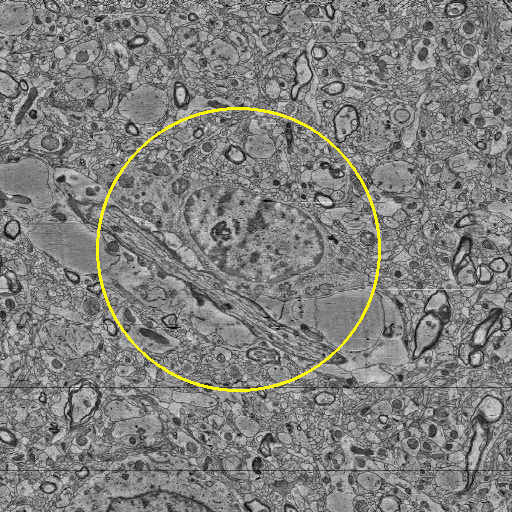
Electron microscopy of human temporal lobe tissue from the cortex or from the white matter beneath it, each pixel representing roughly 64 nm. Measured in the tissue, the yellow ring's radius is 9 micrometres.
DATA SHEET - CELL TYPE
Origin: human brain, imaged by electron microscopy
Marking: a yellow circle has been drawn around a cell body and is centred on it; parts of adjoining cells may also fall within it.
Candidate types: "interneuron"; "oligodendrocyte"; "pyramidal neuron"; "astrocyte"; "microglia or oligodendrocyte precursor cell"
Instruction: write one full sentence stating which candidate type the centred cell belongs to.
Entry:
The cell body at the centre of the yellow ring in this micrograph belongs to an oligodendrocyte.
